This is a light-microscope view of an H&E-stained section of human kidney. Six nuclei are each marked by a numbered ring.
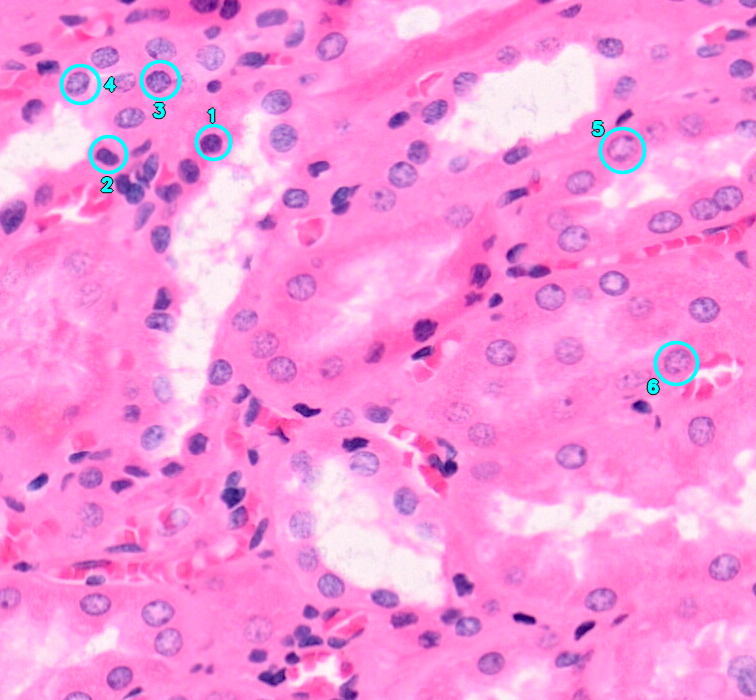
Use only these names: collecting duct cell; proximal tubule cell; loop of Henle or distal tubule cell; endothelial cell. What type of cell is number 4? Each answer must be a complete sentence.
Heads up, the cell numbered 4 is a loop of Henle or distal tubule cell.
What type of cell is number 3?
The marked cell bearing number 3 is a loop of Henle or distal tubule cell.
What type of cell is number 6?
The numbered cell 6 in this field is a proximal tubule cell.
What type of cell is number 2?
Regarding cell 2, this one is a loop of Henle or distal tubule cell.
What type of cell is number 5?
The nucleus labeled 5 belongs to a proximal tubule cell.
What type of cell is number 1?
The numbered cell 1 is identified here as a loop of Henle or distal tubule cell.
